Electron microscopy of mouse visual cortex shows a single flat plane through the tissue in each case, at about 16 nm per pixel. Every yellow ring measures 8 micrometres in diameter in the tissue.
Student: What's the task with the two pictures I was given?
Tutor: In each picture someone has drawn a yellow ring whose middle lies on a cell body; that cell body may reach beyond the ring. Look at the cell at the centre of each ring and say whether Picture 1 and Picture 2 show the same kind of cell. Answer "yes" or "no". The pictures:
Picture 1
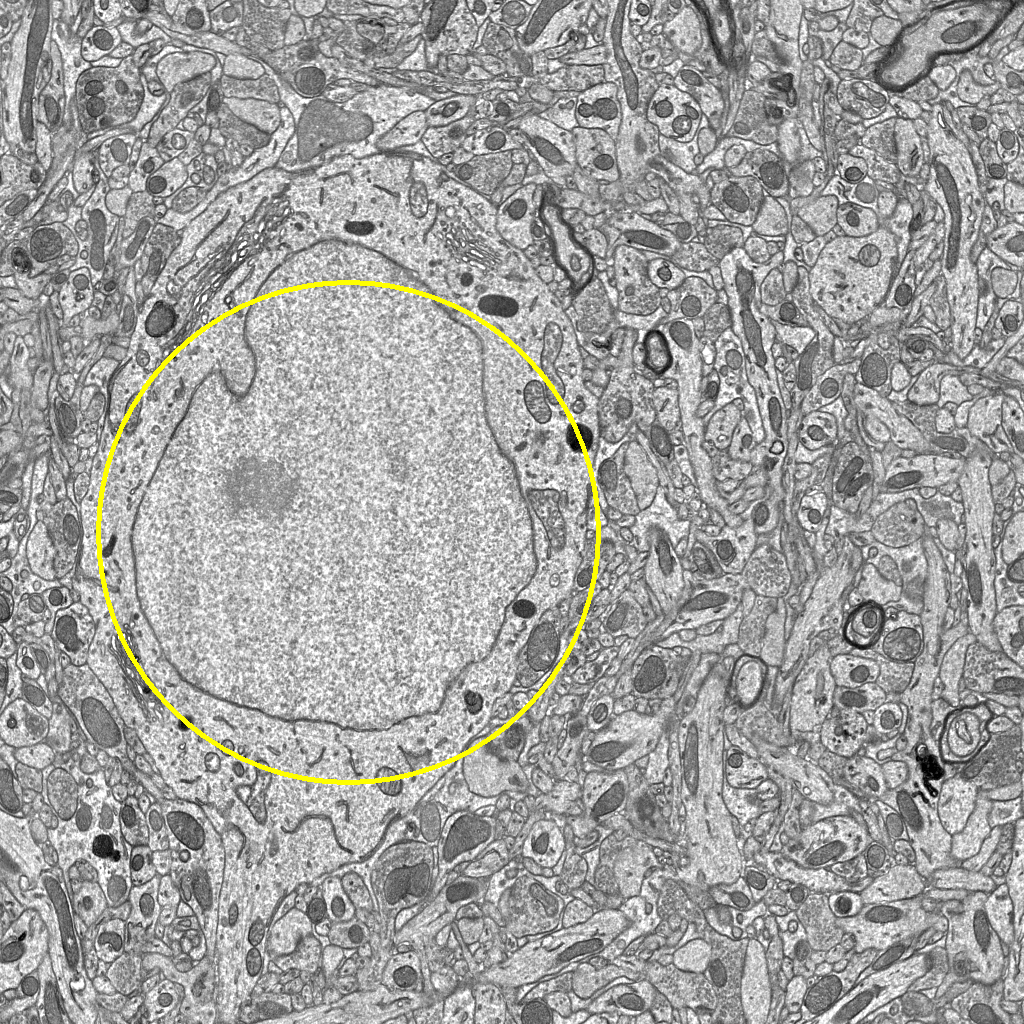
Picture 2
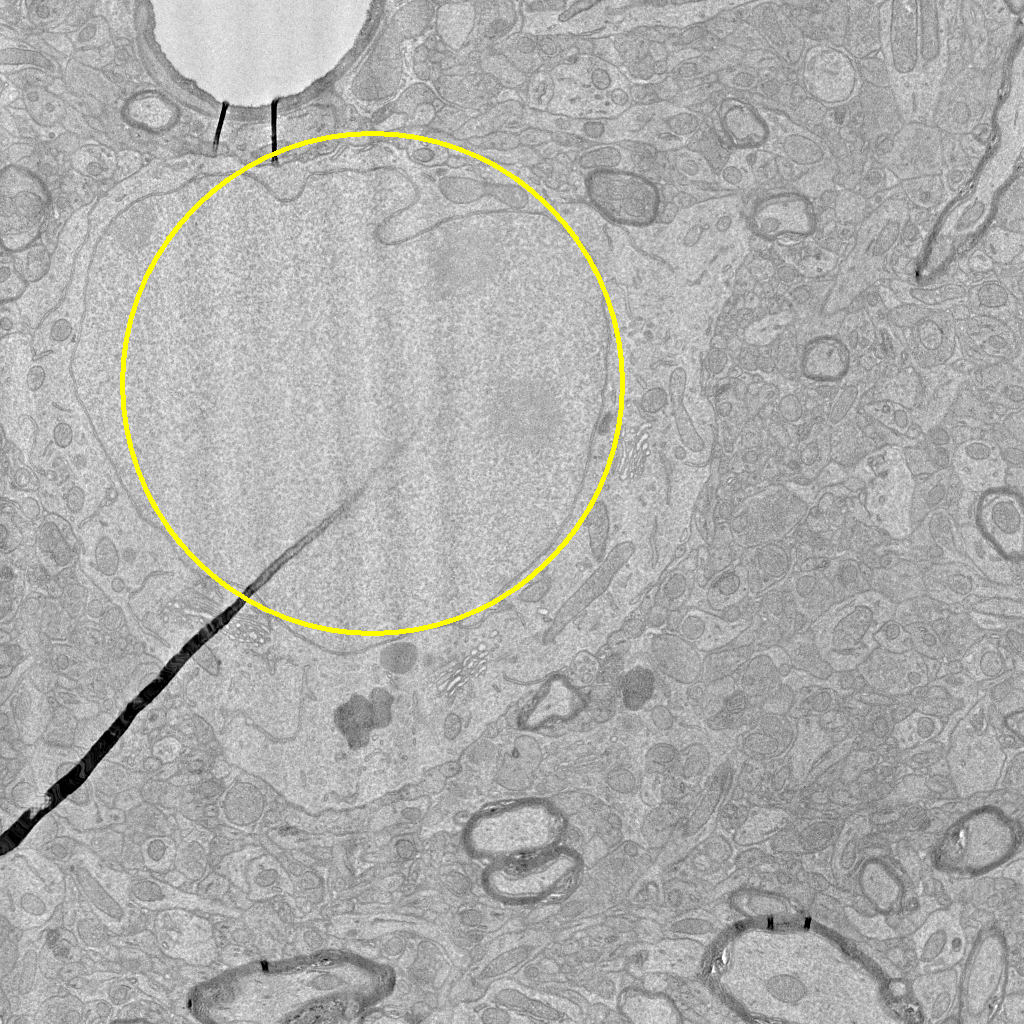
yes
